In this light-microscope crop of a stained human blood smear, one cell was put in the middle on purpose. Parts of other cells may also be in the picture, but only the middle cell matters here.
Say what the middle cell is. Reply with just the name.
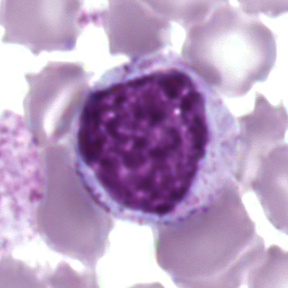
myelocyte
